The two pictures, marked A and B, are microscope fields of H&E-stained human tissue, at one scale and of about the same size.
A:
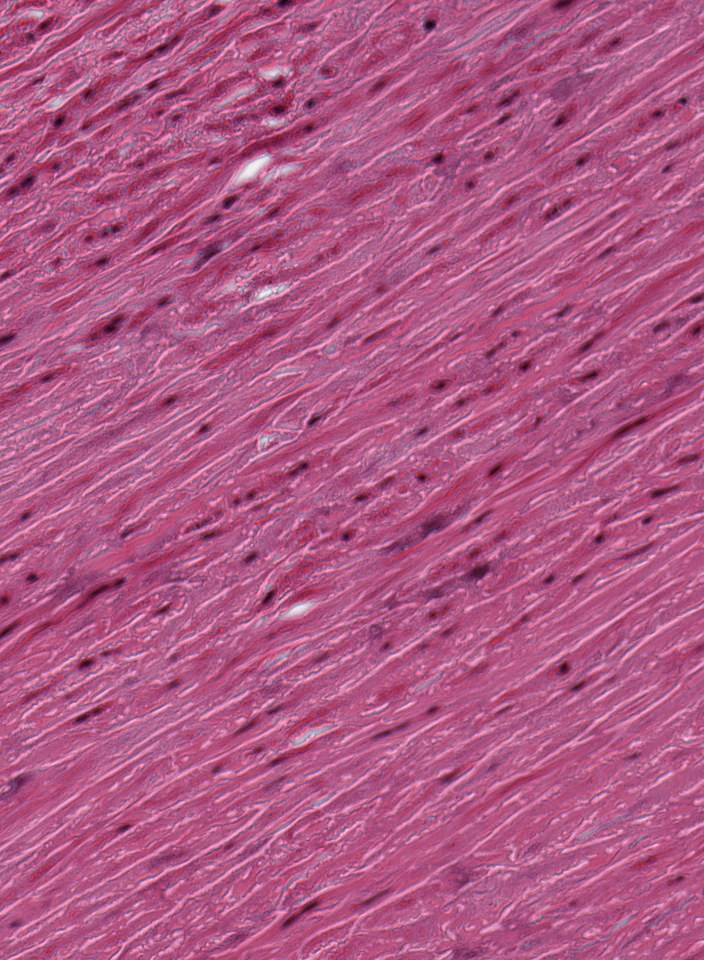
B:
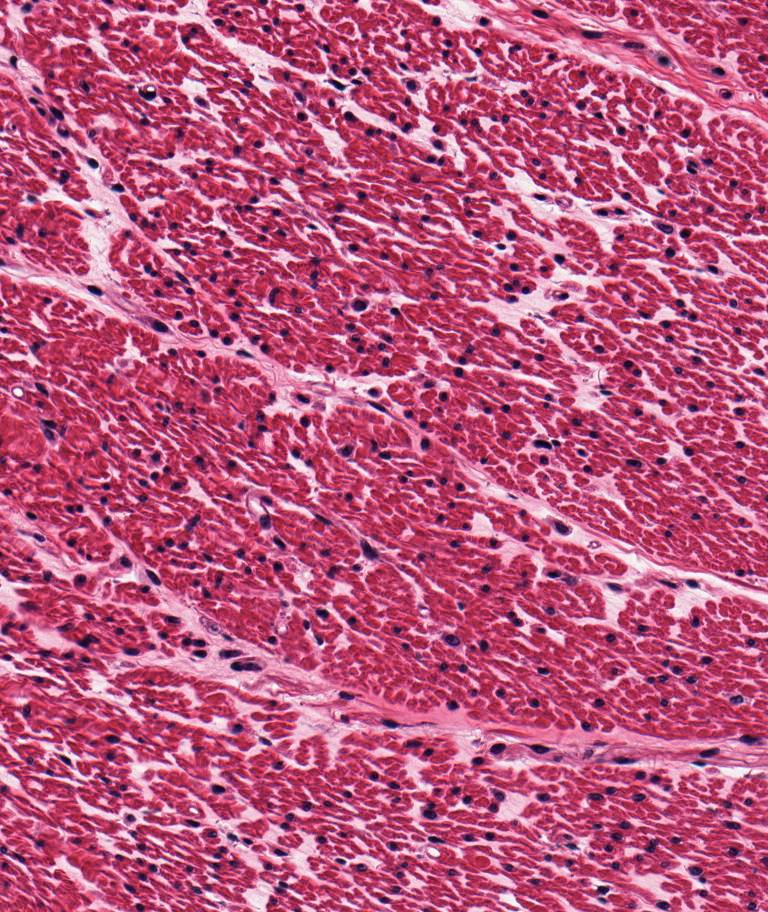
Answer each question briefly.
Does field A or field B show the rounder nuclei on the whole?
B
